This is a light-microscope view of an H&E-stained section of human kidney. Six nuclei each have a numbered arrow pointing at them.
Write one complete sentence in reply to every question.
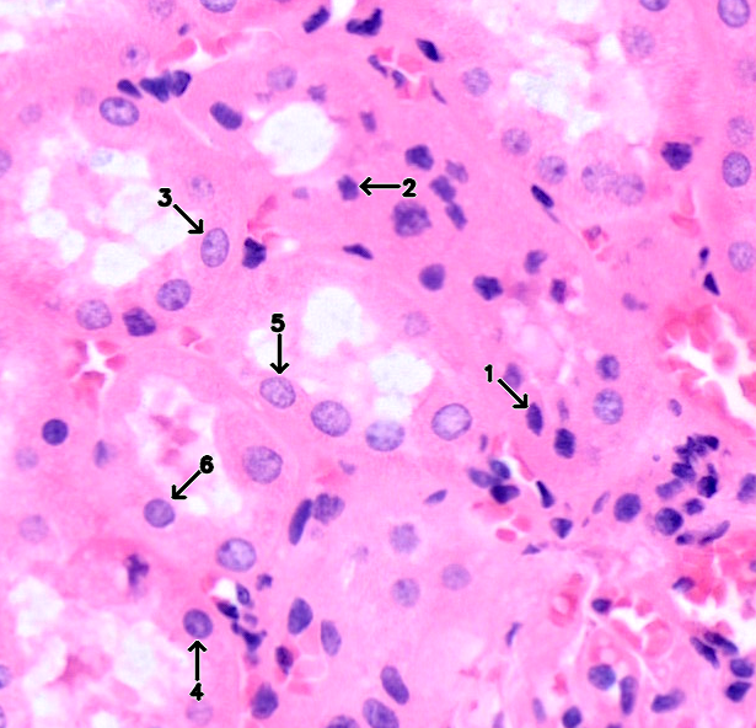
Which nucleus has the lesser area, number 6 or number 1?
It is nucleus 1; nucleus 6 has about 1.5 times its area.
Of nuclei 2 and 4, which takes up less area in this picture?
Nucleus 2 is the smaller one; nucleus 4 covers about 1.5 times its area.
